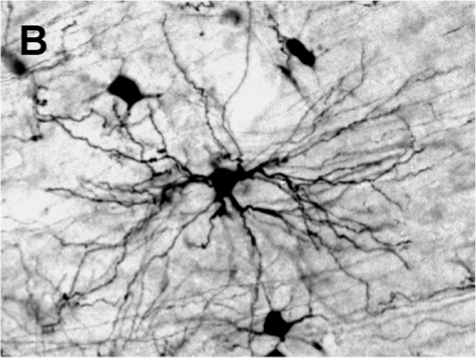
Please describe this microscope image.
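A large radial neuron, darkly labelled against a pale grey background, lies near the centre of the field. Its compact, angular soma gives rise to many thin dendrites that extend outward in all directions, forming a roughly star-shaped, evenly distributed dendritic field. The dendrites branch repeatedly and become finer toward the edges of the field. Several other darkly labelled cell bodies with shorter processes are scattered at the top and lower right of the field. Faint fibres cross the background.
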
